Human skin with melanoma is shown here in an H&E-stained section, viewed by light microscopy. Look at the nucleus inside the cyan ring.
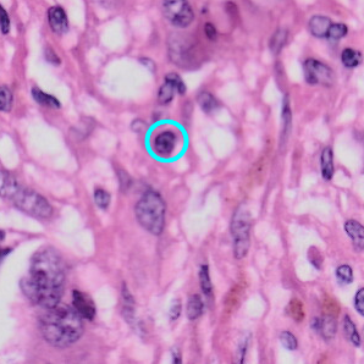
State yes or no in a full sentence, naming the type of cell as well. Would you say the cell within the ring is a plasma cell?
Yes, the description of the cell within the ring as a plasma cell is accurate.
